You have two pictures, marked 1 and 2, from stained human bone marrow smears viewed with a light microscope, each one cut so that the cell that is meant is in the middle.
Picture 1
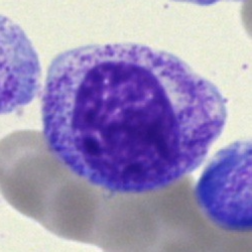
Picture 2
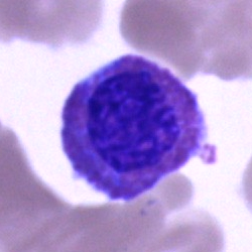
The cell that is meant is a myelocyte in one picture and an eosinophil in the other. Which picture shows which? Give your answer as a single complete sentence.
It is picture 1 that shows a myelocyte, and picture 2 that shows an eosinophil.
